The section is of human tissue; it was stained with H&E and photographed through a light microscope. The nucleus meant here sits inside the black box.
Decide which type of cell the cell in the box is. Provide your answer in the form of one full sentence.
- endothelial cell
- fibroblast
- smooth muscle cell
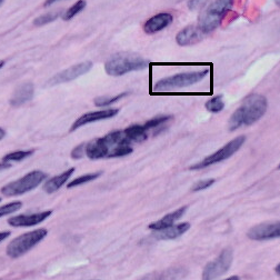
Cell type answer for this item: the cell in the box is a fibroblast.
